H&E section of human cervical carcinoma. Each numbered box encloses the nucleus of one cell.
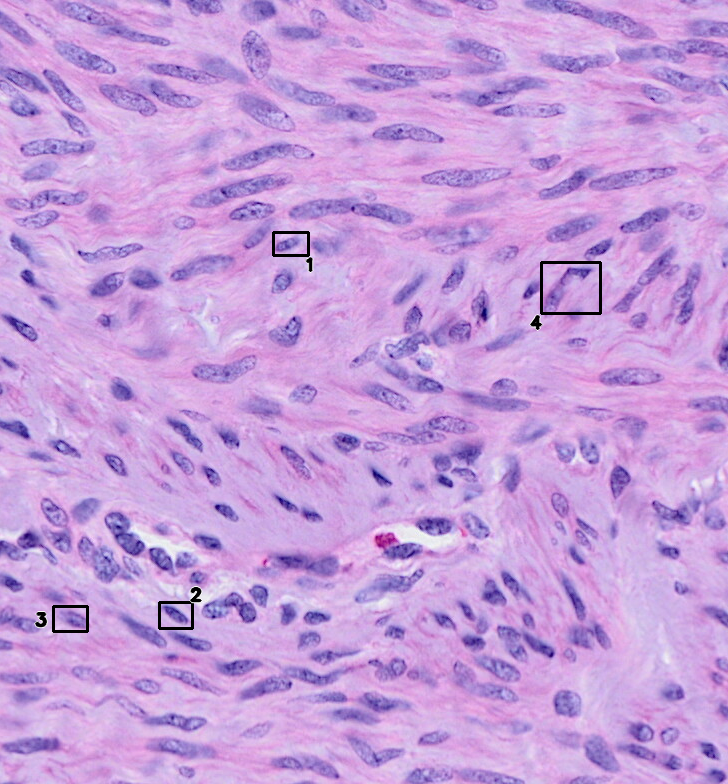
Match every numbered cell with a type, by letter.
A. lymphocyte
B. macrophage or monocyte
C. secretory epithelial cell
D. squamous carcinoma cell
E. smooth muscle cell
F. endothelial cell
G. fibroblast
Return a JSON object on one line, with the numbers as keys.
{"1": "E", "2": "G", "3": "E", "4": "E"}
